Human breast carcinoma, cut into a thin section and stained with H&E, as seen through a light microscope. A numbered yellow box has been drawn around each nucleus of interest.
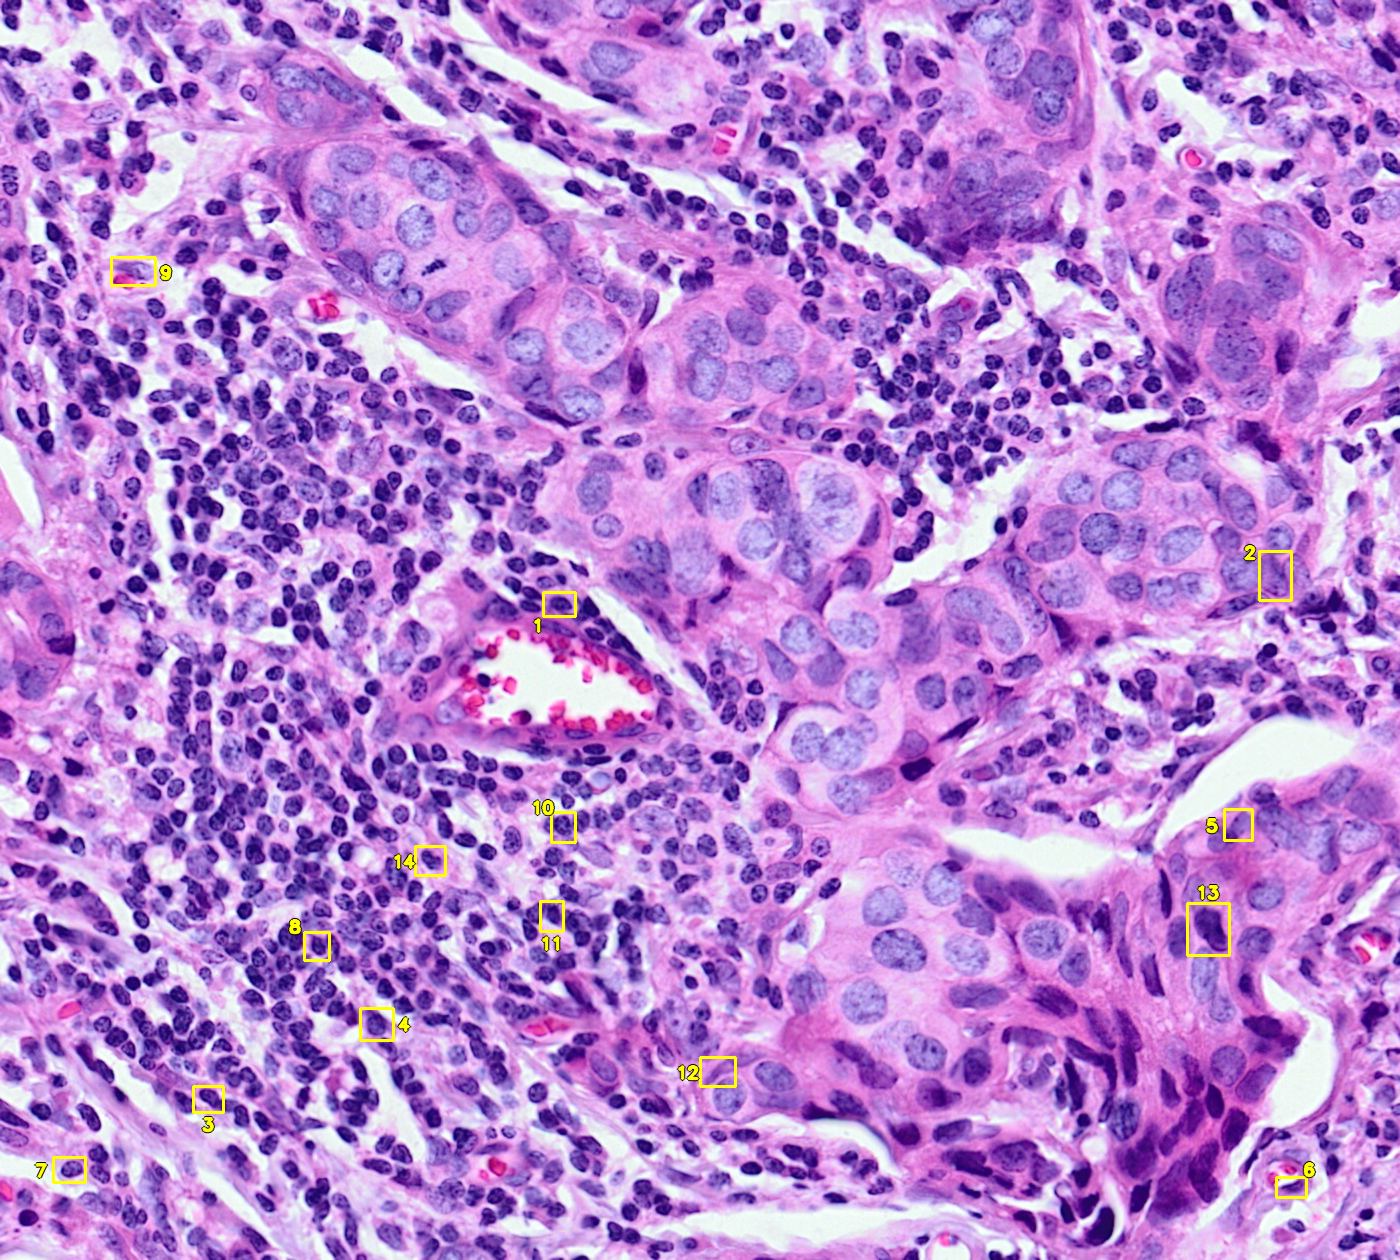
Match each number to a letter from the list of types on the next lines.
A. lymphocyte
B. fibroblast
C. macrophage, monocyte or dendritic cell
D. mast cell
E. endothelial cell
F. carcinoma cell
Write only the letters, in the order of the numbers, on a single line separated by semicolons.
A; F; A; A; F; E; A; A; E; A; A; F; F; A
